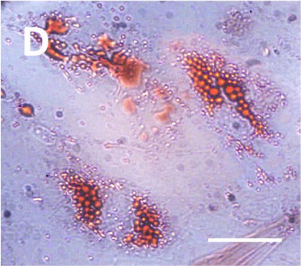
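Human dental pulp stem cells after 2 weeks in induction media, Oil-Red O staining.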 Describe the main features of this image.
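The droplets are small, round and closely packed, giving each cell a bubbly, grape-like appearance. The stained cells lie in separate clusters on a pale, largely unstained background.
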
